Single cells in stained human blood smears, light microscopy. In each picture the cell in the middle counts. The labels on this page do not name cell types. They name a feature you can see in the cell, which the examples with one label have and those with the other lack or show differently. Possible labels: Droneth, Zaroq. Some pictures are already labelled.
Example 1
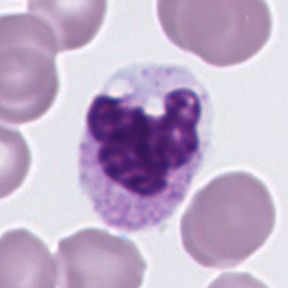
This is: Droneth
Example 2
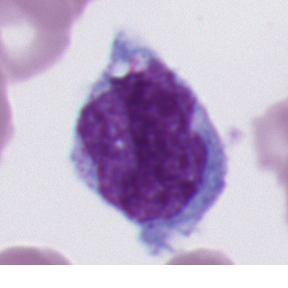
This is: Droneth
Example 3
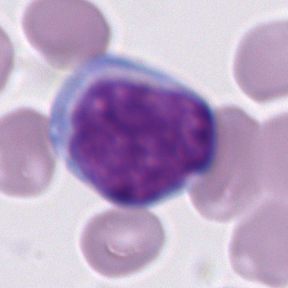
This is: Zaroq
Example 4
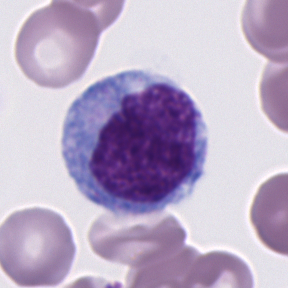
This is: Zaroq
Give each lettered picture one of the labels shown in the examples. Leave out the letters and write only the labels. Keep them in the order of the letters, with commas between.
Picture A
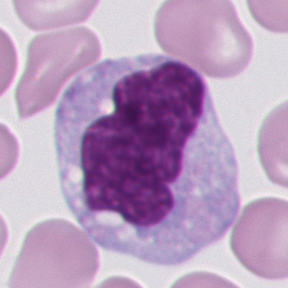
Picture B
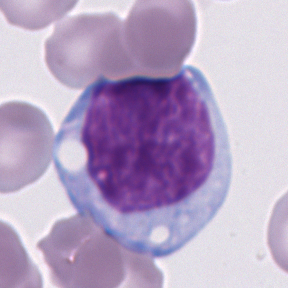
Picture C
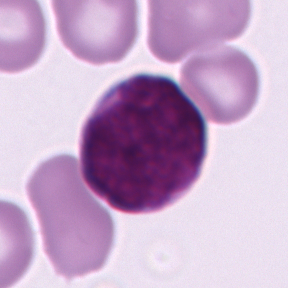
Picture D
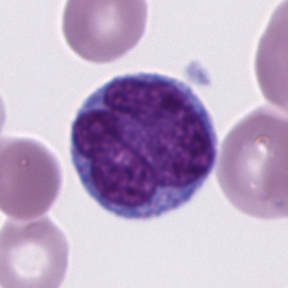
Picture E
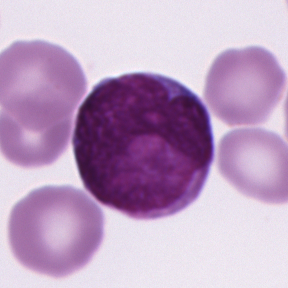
Droneth, Droneth, Zaroq, Zaroq, Zaroq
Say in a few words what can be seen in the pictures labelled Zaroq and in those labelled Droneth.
In Zaroq: no vacuoles. In Droneth: vacuoles present.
